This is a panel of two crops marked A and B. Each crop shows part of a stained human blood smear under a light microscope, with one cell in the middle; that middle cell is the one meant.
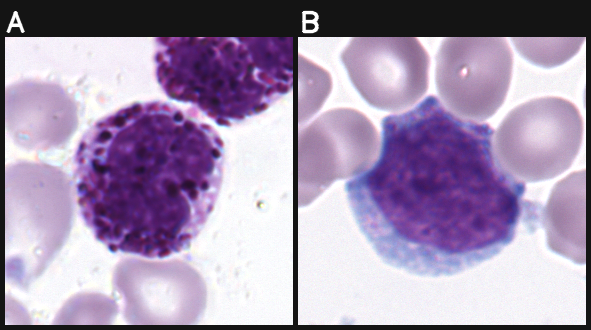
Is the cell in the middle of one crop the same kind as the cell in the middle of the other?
no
